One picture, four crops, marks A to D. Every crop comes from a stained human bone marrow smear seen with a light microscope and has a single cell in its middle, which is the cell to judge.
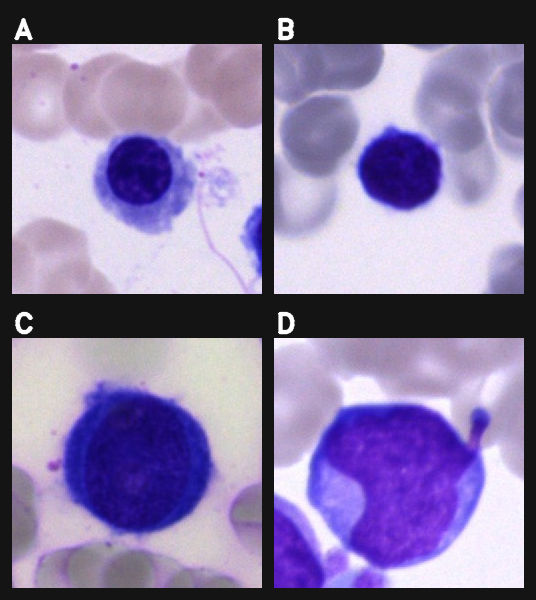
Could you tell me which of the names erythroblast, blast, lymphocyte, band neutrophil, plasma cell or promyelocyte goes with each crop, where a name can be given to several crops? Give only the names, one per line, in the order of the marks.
erythroblast
lymphocyte
blast
blast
